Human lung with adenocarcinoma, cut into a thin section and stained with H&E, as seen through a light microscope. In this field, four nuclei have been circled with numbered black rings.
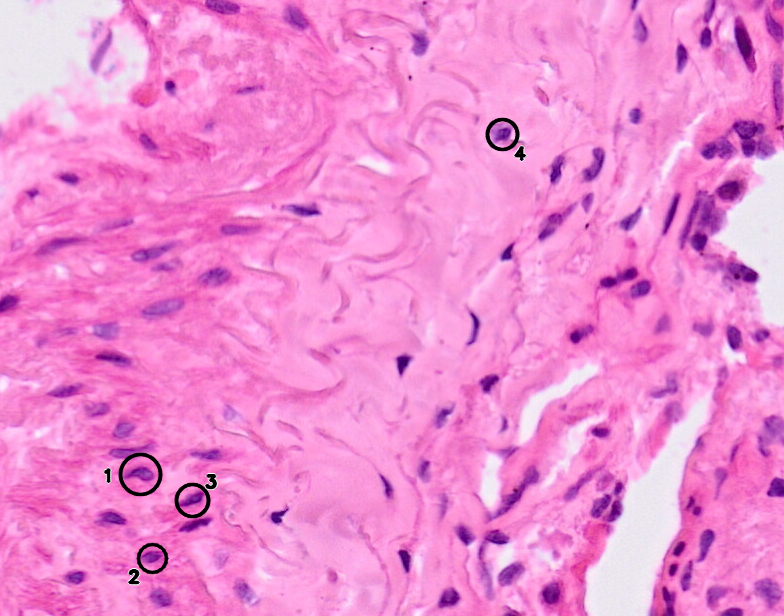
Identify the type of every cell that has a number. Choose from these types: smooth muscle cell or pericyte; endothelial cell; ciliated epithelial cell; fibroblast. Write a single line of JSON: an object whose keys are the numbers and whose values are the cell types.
{"1": "smooth muscle cell or pericyte", "2": "smooth muscle cell or pericyte", "3": "smooth muscle cell or pericyte", "4": "fibroblast"}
